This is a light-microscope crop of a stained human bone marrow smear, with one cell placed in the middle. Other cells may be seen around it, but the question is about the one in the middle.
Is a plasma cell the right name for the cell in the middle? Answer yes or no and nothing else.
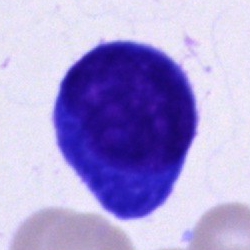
yes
